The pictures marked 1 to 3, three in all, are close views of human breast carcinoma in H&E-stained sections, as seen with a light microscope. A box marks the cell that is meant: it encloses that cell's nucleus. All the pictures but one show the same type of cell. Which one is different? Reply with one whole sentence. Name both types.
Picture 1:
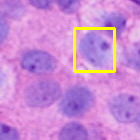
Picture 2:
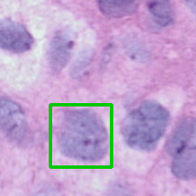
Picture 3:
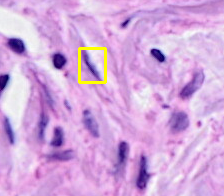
The different one is picture 3; it shows a fibroblast, whereas all the others show carcinoma cells.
